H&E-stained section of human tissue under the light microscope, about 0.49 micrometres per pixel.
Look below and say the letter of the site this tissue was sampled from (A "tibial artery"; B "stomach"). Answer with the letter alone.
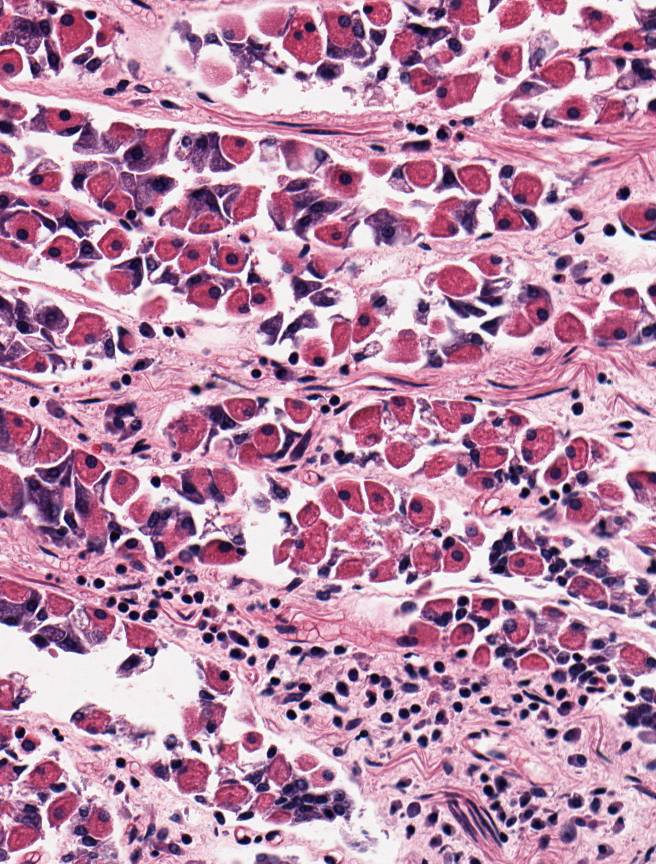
B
